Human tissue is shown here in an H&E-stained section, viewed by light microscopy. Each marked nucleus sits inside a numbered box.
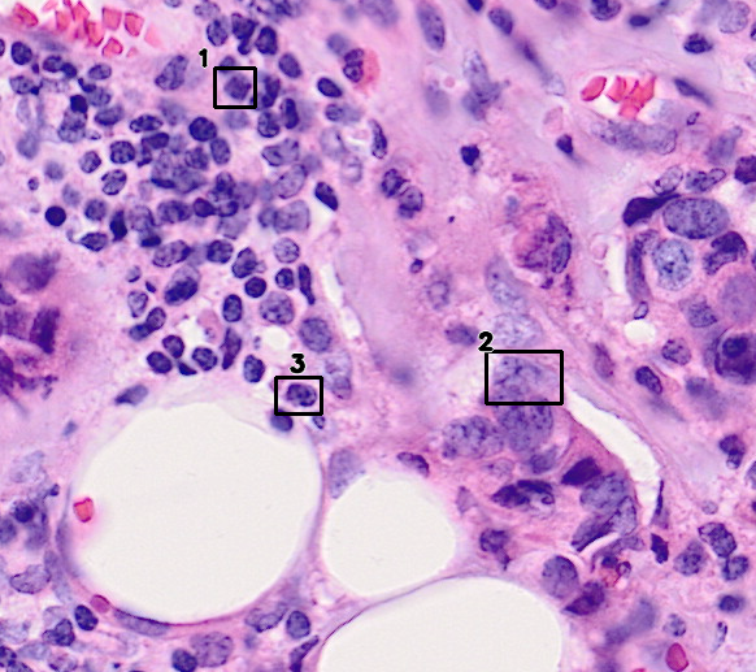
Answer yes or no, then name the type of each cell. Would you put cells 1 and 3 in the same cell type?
Yes, both are lymphocytes.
